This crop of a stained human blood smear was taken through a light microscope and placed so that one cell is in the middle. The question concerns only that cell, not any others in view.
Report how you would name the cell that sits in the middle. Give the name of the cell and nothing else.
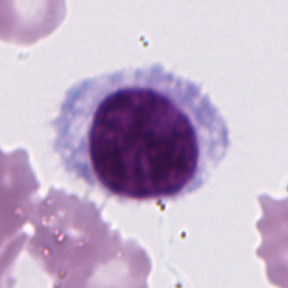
hairy cell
